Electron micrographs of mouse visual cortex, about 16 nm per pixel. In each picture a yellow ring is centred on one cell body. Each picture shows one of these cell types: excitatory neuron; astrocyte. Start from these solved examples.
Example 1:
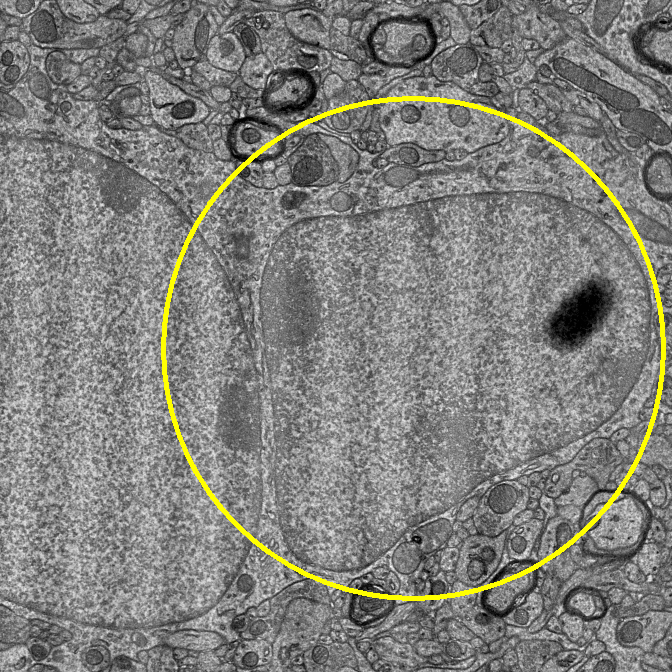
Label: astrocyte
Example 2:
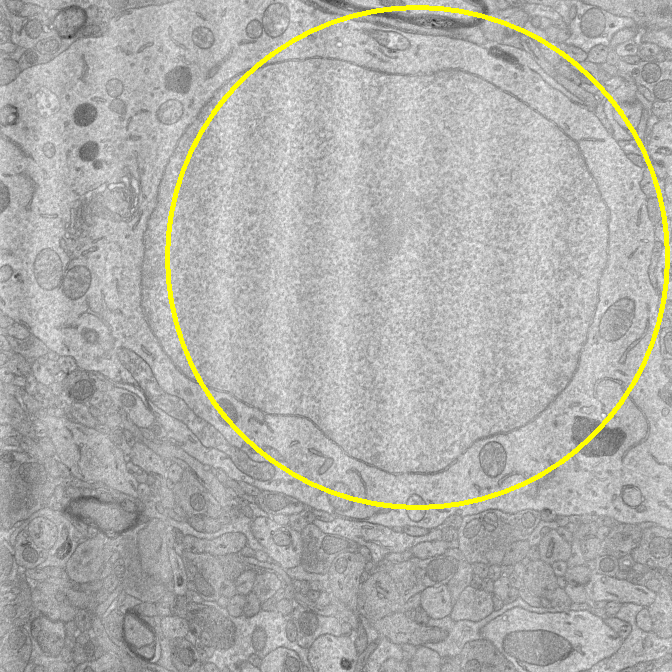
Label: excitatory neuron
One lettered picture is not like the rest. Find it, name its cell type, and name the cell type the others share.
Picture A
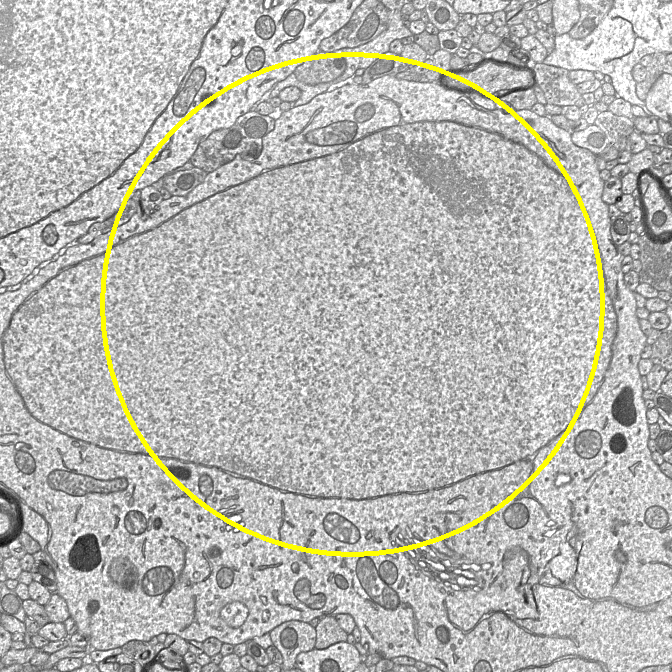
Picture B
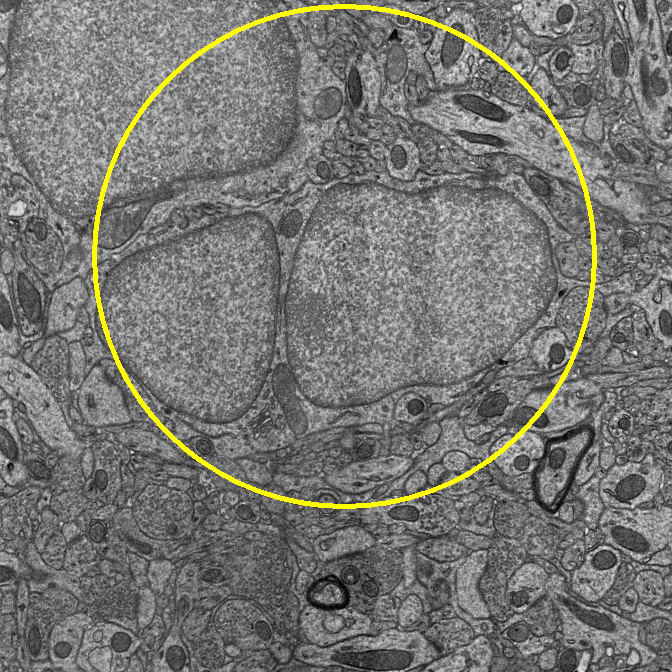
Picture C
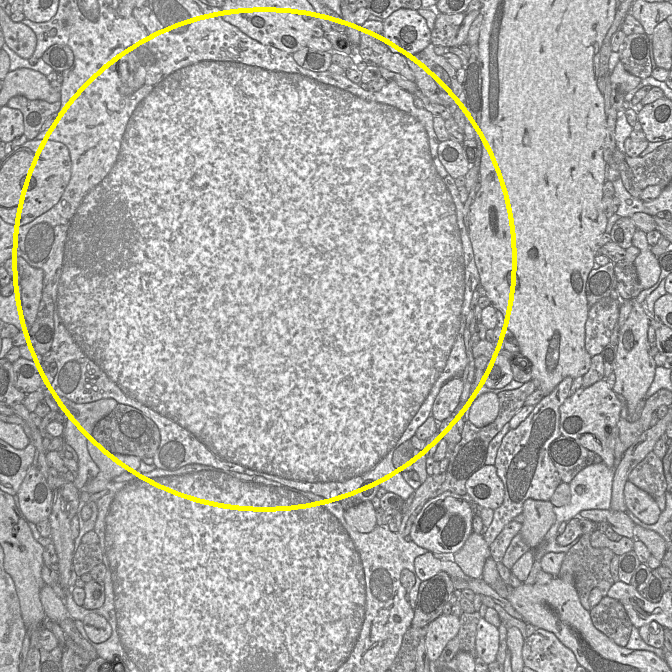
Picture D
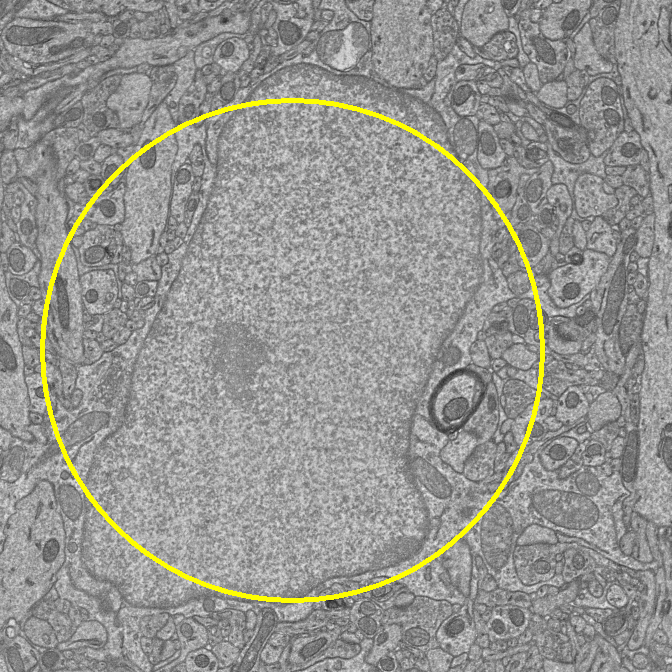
A: excitatory neuron; all the others: astrocyte.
